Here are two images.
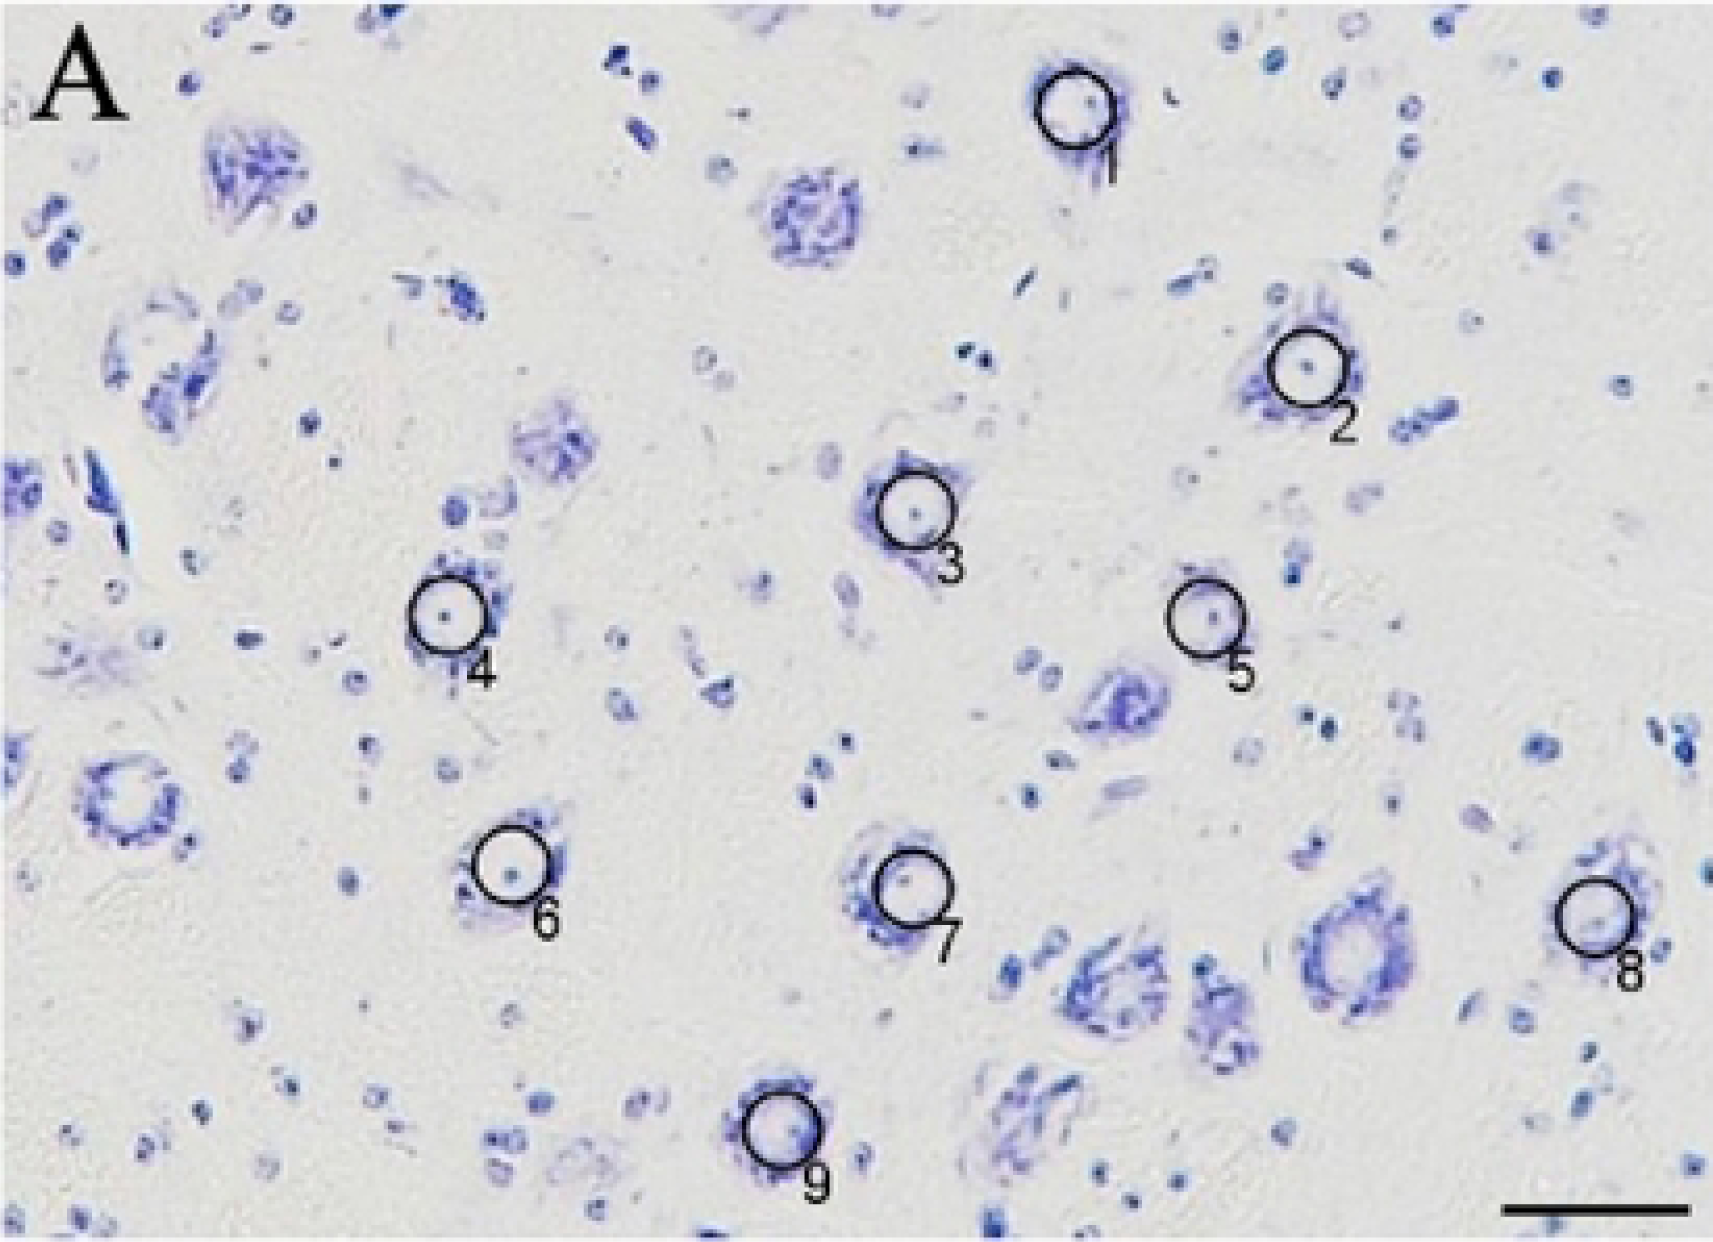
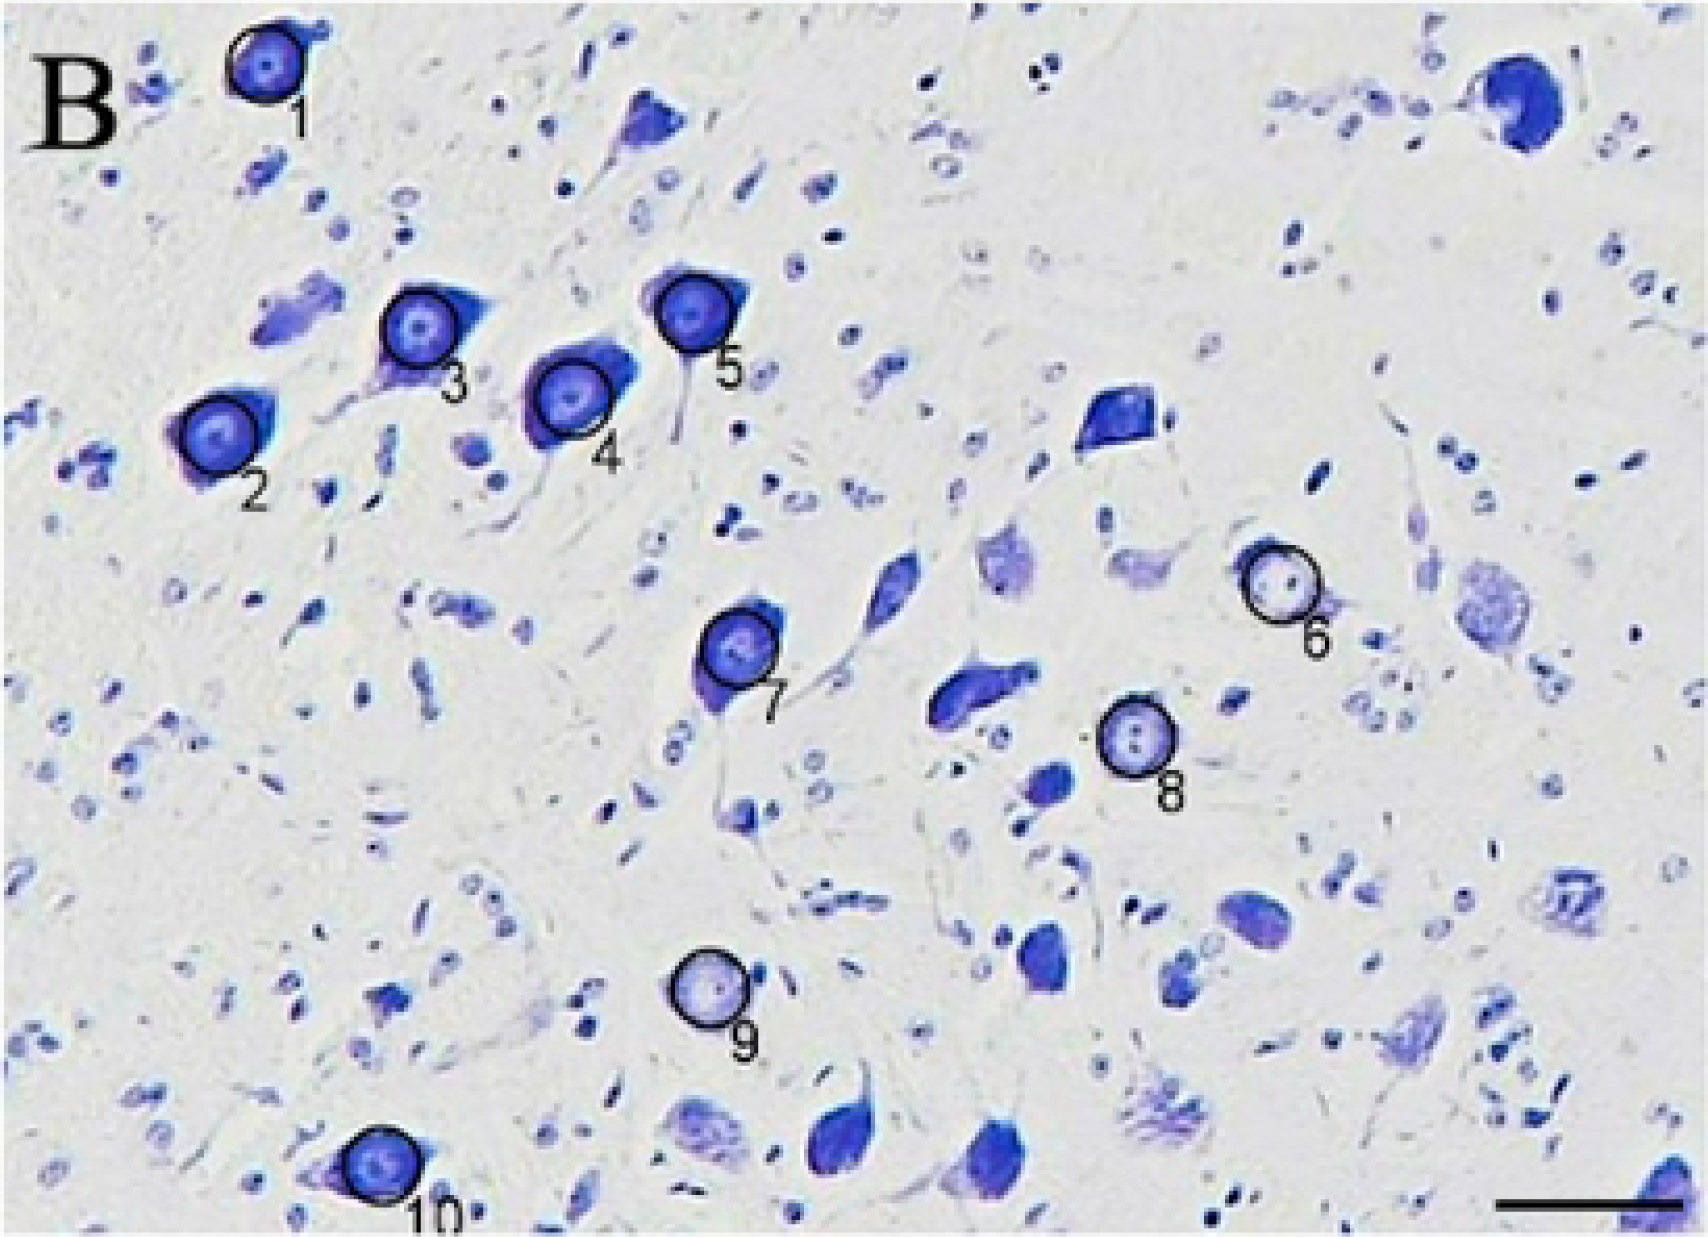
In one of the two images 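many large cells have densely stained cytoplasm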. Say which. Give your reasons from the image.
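Second image: many large cell bodies are deep, uniform dark blue. First image: large cell bodies are pale with scattered blue granules. So: the second image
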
